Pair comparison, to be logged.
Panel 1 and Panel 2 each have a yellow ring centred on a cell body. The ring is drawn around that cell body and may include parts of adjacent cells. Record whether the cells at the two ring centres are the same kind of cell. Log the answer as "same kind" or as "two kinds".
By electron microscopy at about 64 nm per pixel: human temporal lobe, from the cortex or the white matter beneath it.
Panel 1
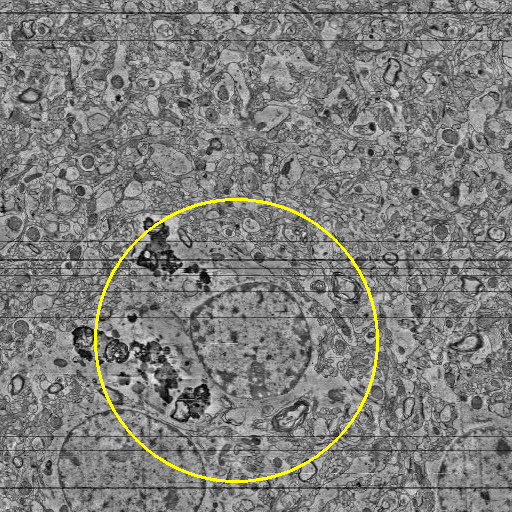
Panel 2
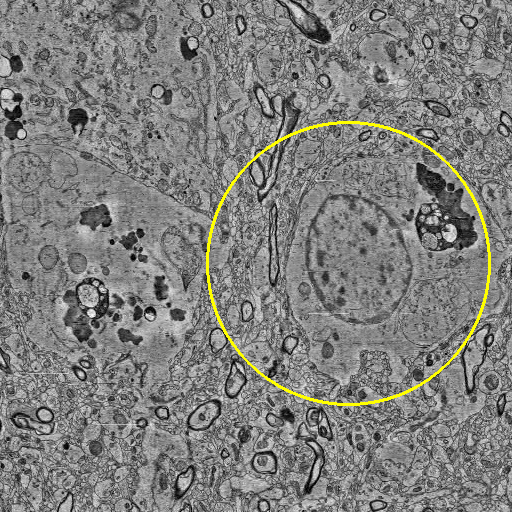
same kind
